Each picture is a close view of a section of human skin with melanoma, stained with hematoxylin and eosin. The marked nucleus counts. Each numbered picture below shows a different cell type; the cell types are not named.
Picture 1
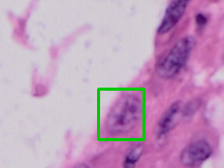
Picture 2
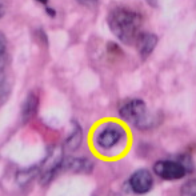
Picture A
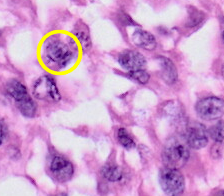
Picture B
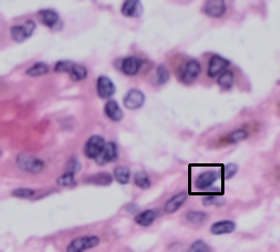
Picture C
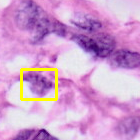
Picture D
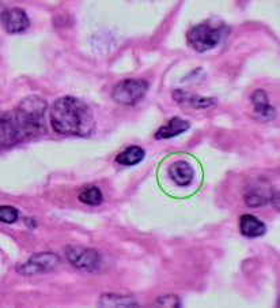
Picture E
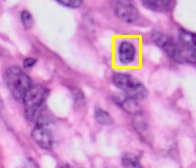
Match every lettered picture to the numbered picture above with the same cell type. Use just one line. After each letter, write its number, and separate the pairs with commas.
A 1, B 2, C 1, D 2, E 2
